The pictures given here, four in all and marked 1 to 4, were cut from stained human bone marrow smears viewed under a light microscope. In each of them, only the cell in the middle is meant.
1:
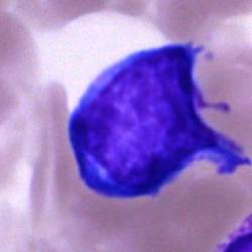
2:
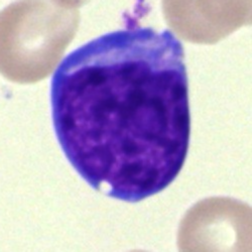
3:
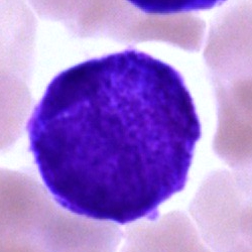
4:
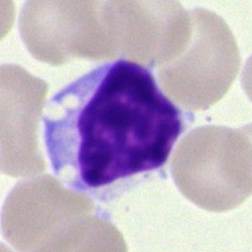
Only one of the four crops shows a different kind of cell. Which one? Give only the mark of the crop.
4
